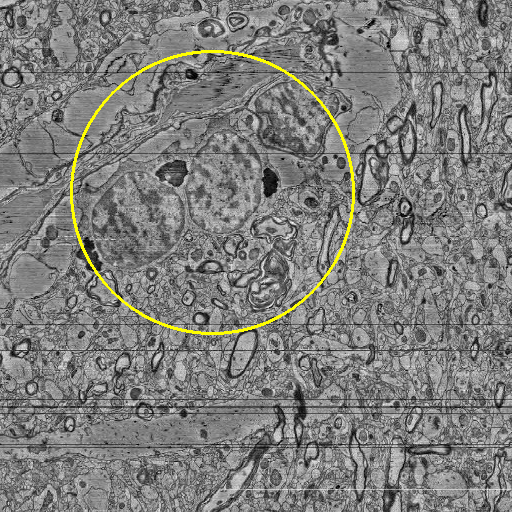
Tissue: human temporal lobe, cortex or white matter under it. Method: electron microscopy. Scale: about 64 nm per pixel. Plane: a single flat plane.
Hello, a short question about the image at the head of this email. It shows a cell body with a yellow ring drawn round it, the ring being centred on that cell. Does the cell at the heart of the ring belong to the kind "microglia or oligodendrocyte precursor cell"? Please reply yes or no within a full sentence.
No, the cell at the heart of the ring in that image is of a different kind.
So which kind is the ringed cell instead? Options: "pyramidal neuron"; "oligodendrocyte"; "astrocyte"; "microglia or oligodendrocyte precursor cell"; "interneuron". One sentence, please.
At the centre of the ring sits an oligodendrocyte.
